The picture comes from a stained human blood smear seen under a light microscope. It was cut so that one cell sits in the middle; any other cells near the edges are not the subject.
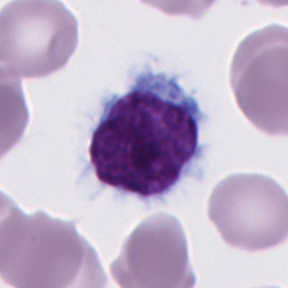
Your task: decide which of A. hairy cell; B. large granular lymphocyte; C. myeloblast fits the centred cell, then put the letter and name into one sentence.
Option A is correct in that the central cell is a hairy cell.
